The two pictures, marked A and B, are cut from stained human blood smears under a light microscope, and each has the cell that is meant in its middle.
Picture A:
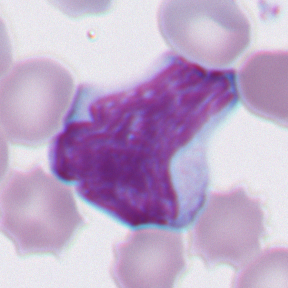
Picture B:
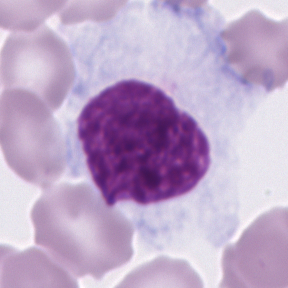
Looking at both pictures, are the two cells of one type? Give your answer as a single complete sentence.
No. Picture A shows a typical lymphocyte, but picture B shows a hairy cell.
